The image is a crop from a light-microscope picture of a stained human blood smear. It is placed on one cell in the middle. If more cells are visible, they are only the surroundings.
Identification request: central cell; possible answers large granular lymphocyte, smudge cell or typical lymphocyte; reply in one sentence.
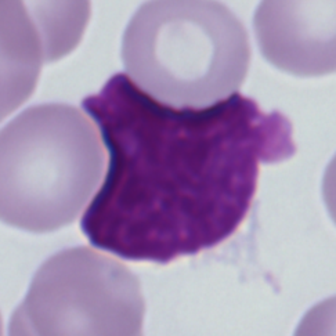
In this smear crop, the middle cell is a smudge cell.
